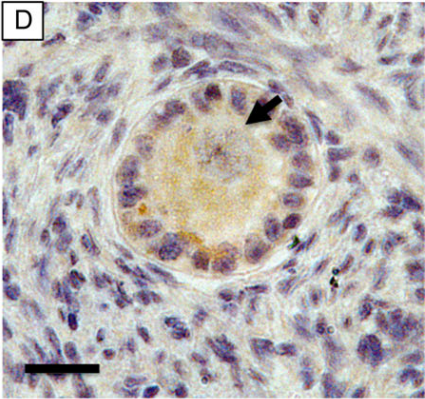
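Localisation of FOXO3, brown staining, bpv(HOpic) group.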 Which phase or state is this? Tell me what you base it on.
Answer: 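Primary follicles. A large central oocyte is surrounded by one complete layer of cuboidal cells. A thin boundary separates the follicle from the surrounding spindle-shaped stromal cells.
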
